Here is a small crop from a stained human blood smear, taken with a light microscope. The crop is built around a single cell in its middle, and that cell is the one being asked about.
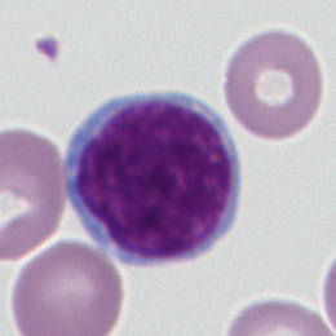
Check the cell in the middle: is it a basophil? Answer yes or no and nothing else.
no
